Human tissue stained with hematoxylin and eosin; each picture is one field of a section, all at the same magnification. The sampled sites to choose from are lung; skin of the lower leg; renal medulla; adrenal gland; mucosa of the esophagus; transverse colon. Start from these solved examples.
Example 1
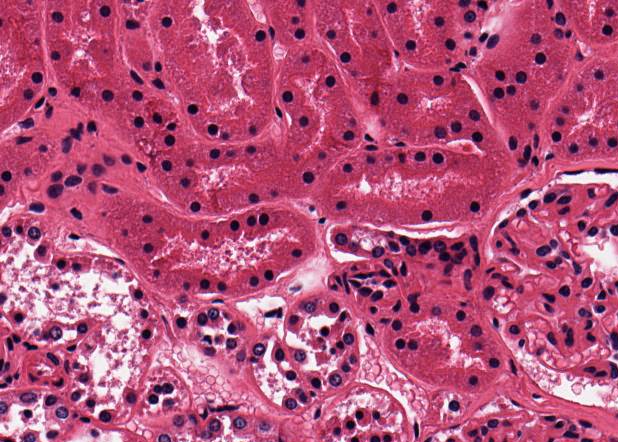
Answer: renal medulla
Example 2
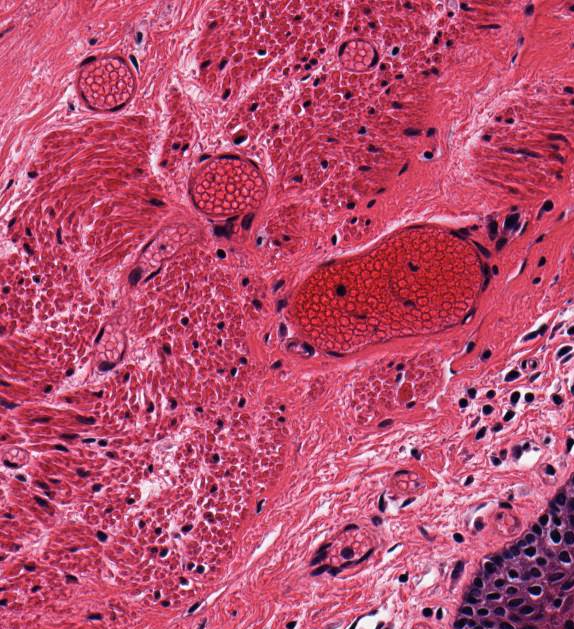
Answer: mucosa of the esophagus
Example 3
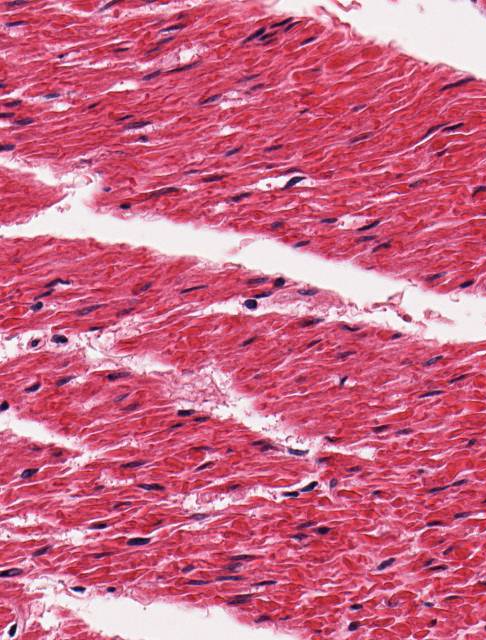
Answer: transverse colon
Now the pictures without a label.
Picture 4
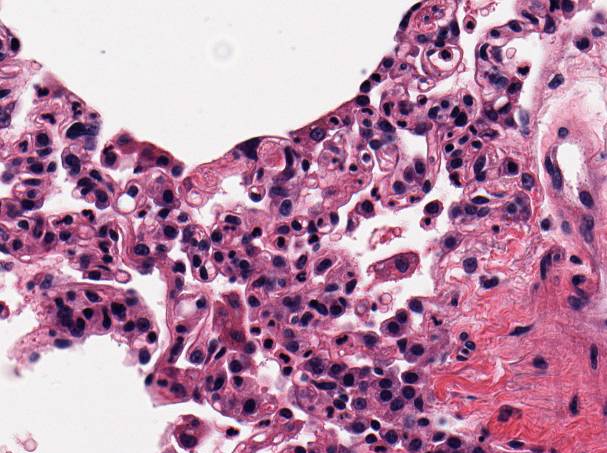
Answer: lung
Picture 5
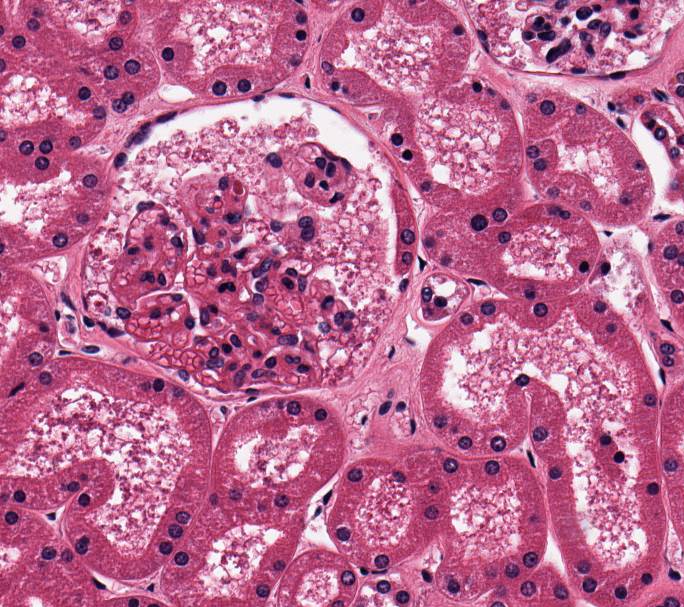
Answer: renal medulla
